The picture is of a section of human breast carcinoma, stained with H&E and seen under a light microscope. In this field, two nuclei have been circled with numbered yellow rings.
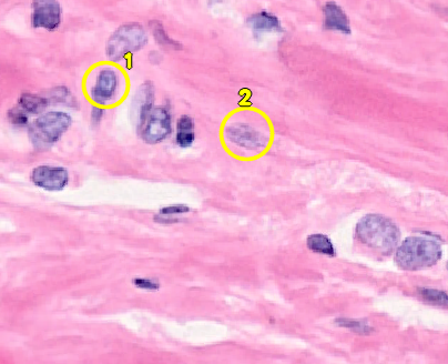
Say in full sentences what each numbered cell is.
Cell 1 is an endothelial cell. Cell 2 is a fibroblast.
